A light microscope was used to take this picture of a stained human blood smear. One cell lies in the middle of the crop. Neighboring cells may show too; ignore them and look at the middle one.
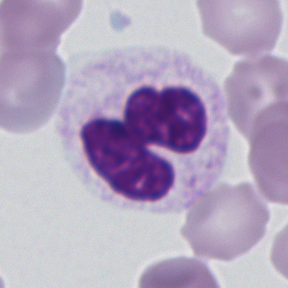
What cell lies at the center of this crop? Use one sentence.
The cell in the exact centre of the crop is a segmented neutrophil.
